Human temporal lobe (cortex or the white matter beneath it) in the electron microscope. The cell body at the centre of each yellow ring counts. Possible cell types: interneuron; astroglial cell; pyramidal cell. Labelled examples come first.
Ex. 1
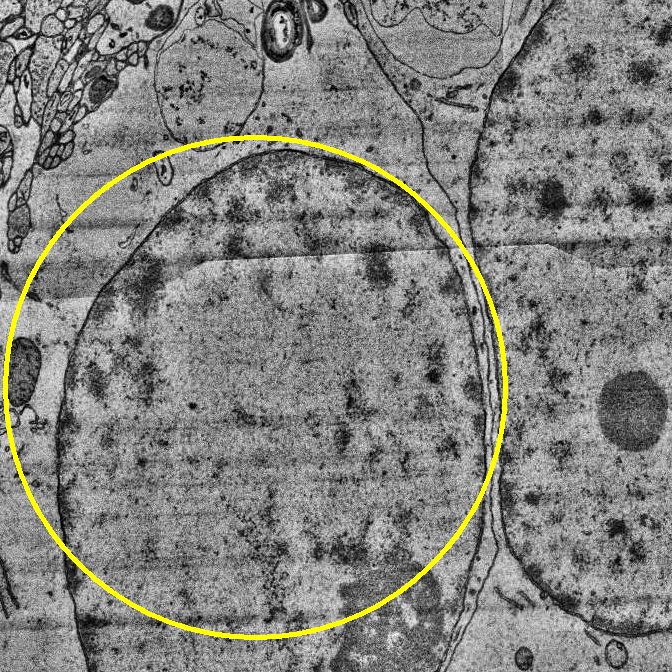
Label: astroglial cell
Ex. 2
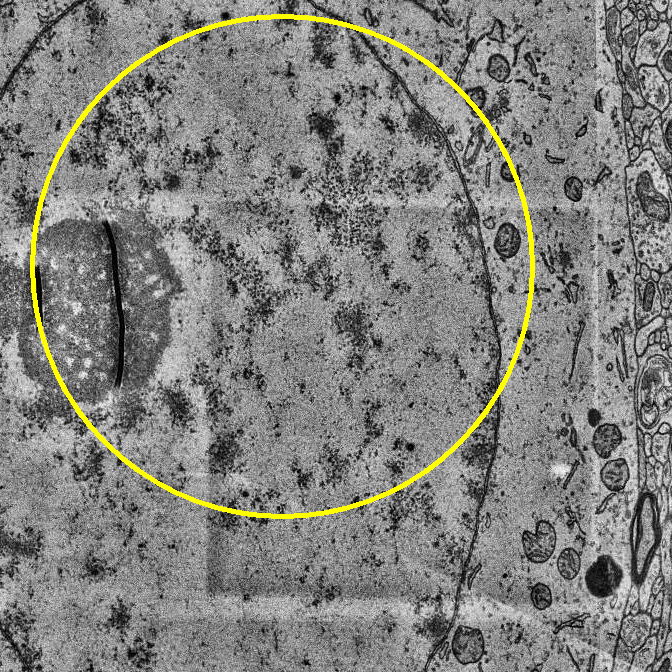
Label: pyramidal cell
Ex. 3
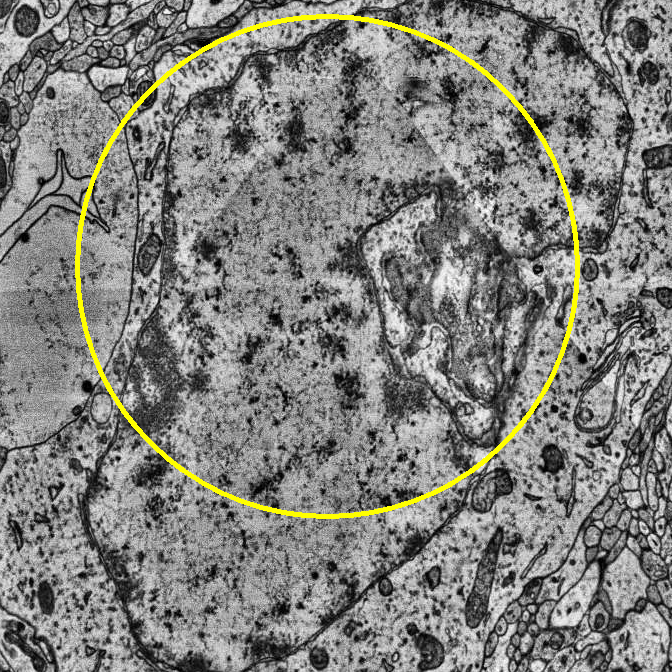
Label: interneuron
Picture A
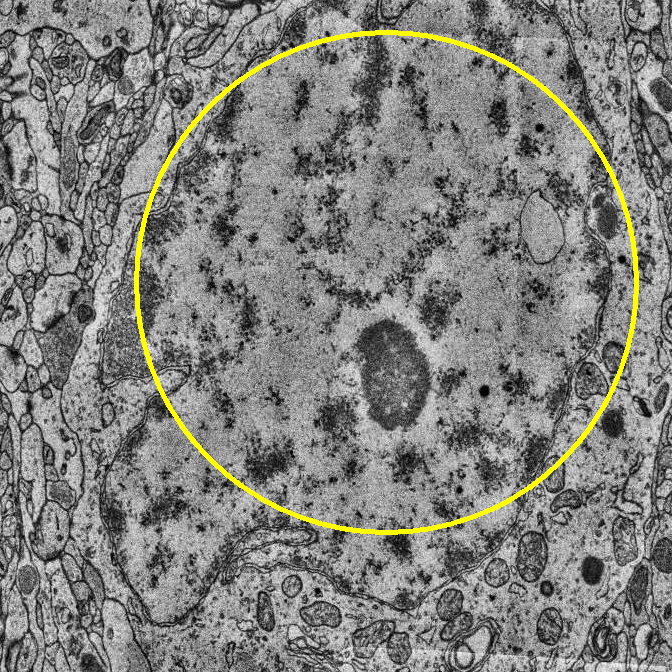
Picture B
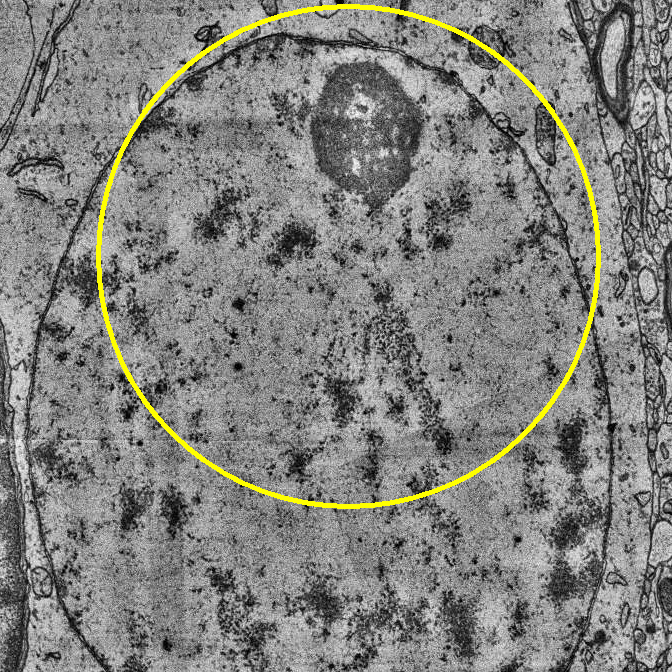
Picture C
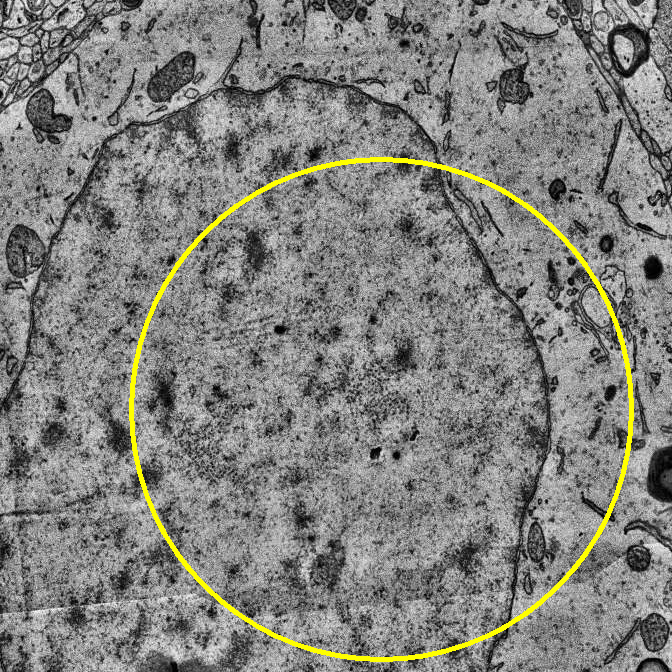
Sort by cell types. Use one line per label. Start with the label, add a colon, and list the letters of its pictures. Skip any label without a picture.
interneuron: A
pyramidal cell: B, C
